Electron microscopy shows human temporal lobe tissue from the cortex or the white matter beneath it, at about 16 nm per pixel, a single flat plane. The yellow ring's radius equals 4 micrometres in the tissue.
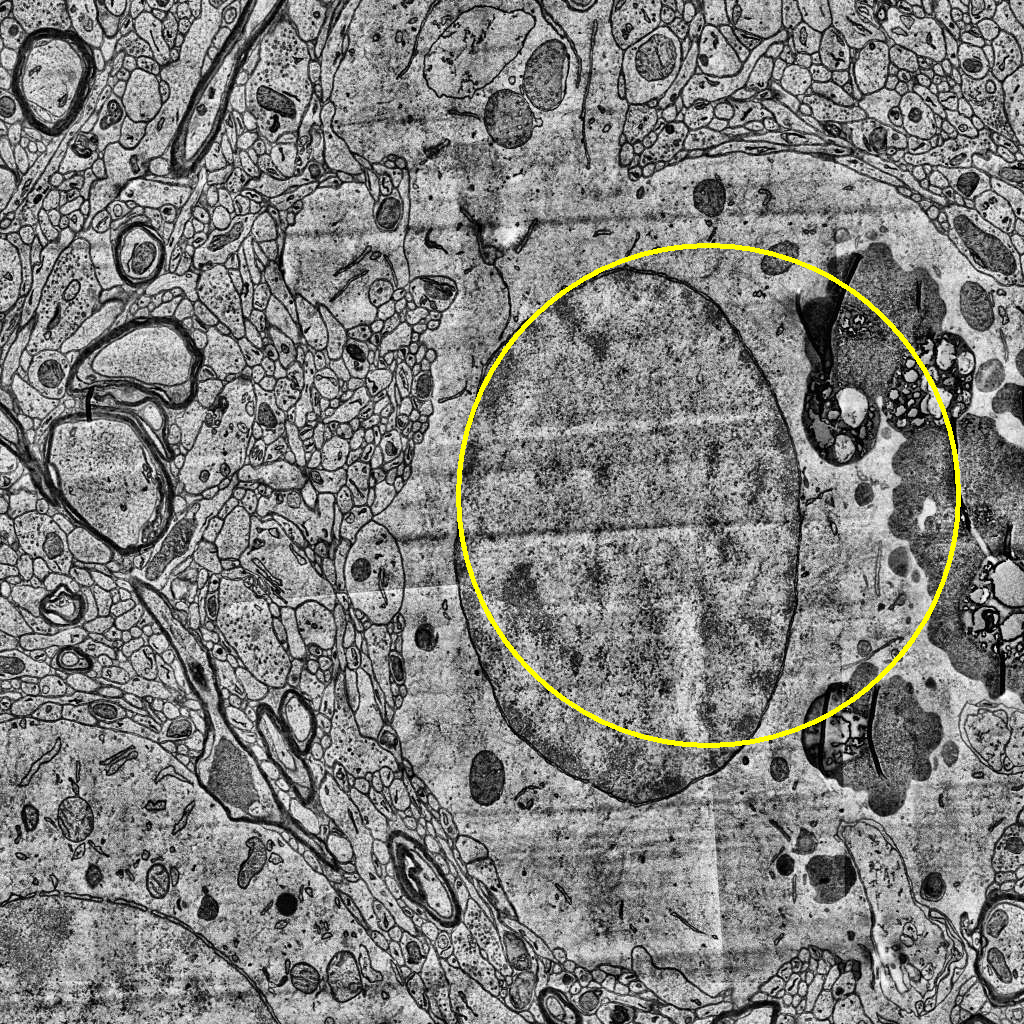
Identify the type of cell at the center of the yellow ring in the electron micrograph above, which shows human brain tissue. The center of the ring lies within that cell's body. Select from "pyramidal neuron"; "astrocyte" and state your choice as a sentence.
The center of the yellow ring lies in the body of an astrocyte.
